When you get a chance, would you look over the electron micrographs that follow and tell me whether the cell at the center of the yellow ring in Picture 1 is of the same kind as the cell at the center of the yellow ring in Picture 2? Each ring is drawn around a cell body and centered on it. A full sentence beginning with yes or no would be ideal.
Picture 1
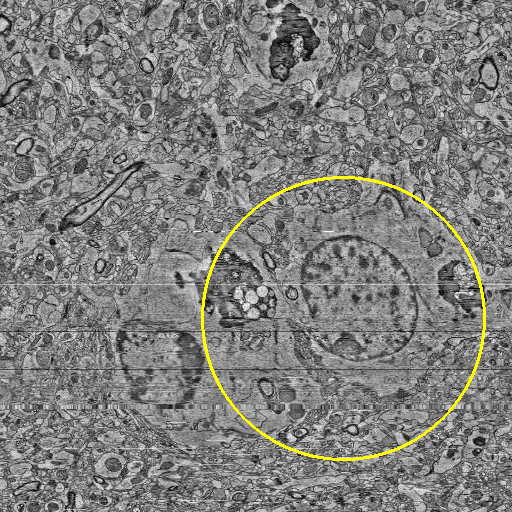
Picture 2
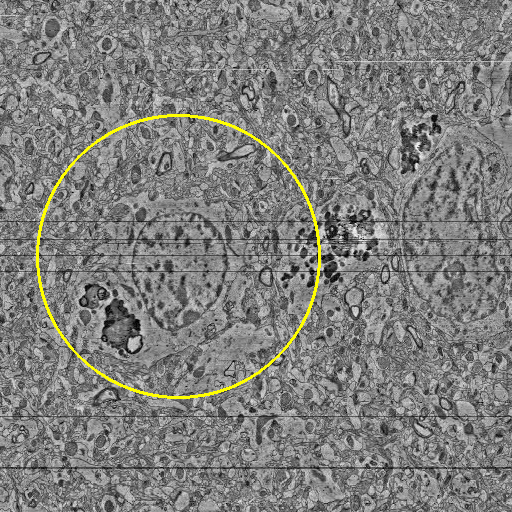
Yes, the two cells are of the same kind.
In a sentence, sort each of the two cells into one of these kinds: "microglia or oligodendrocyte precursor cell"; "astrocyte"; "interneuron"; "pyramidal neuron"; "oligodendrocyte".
Each of the two pictures has an astrocyte at the ring centre.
